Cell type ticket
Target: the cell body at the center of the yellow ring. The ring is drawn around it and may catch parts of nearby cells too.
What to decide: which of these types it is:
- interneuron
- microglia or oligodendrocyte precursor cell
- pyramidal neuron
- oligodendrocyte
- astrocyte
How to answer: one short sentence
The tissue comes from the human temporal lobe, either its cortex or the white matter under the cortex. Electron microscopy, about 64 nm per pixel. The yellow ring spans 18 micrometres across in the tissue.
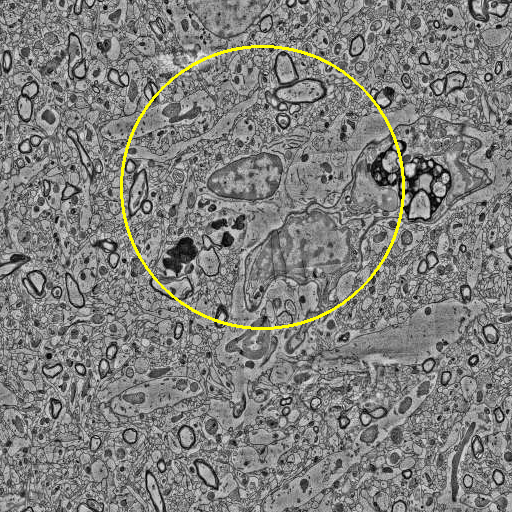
The cell at the center of the ring is a microglial cell or oligodendrocyte precursor cell.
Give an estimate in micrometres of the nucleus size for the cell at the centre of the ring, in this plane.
The nucleus is approximately 5 micrometers long by 3 micrometers wide in this plane.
